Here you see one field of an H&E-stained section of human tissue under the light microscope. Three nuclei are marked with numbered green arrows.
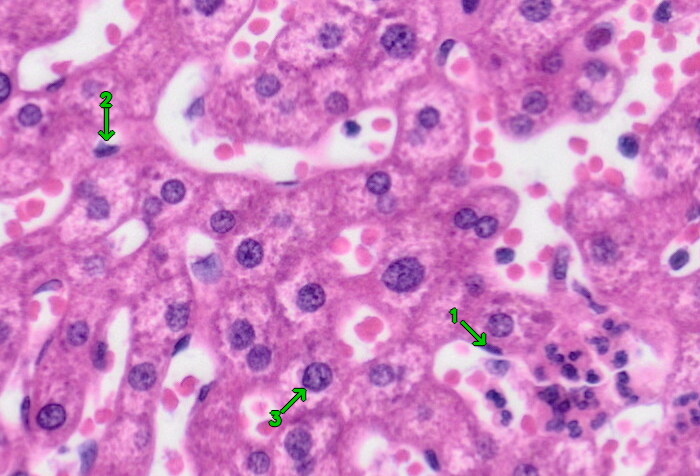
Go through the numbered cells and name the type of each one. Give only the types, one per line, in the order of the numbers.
fibroblast or stellate cell
endothelial cell
hepatocyte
